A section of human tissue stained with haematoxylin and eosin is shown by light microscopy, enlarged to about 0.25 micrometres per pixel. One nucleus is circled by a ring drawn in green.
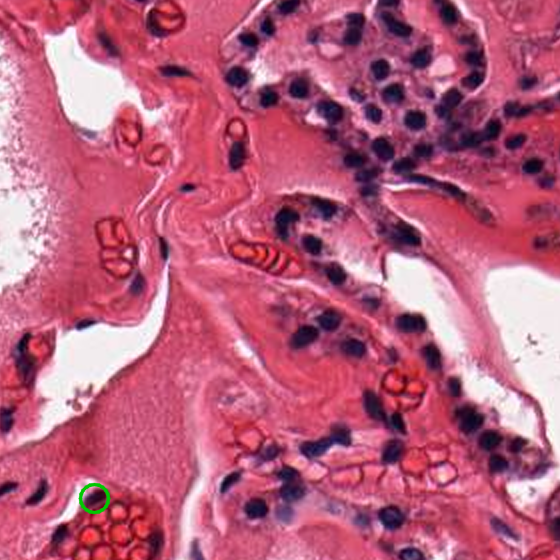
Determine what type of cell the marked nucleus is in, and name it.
endothelial cell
